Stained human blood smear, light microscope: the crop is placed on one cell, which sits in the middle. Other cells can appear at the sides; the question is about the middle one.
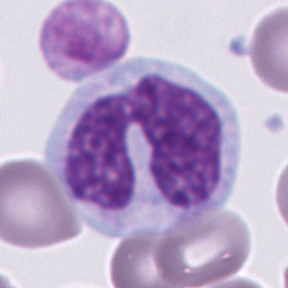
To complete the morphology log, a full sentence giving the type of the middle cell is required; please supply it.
The central element of this crop is a cell, namely a monocyte.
